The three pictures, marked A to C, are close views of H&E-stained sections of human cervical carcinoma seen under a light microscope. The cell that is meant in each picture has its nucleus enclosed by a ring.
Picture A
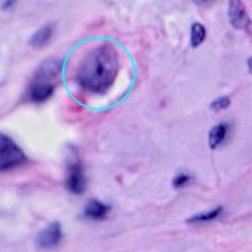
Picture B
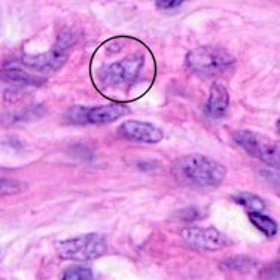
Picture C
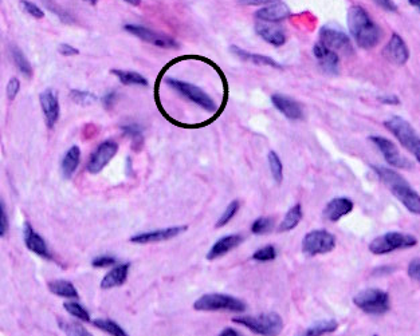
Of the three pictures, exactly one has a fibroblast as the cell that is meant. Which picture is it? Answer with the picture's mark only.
C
